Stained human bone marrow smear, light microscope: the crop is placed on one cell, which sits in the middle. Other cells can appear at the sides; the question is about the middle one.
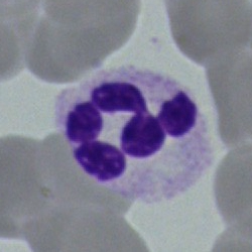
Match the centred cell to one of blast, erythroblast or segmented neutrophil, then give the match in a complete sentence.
The cell sitting right in the middle is a segmented neutrophil.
